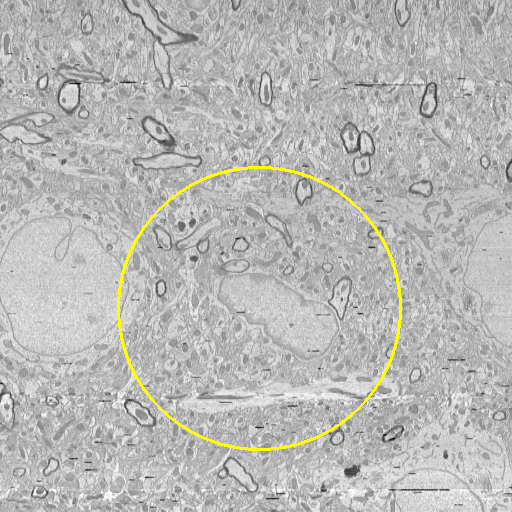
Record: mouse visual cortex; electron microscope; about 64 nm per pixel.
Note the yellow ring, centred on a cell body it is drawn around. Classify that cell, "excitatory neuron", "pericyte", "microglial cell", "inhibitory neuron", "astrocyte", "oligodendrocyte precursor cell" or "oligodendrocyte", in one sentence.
The cell the ring is centred on is an oligodendrocyte precursor cell.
